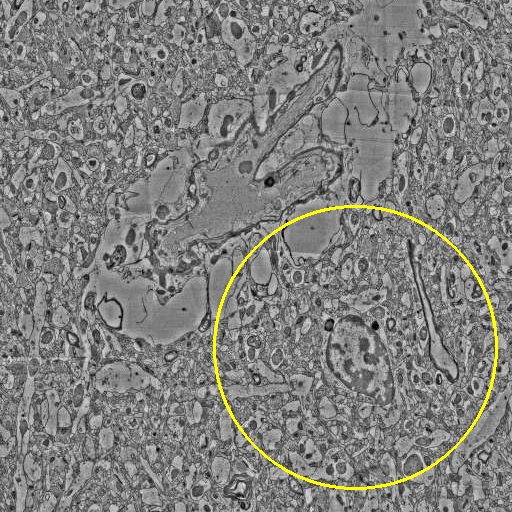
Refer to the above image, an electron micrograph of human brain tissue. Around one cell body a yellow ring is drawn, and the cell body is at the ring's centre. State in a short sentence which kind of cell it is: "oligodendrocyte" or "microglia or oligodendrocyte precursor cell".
The centre of the ring falls on a microglial cell or oligodendrocyte precursor cell.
